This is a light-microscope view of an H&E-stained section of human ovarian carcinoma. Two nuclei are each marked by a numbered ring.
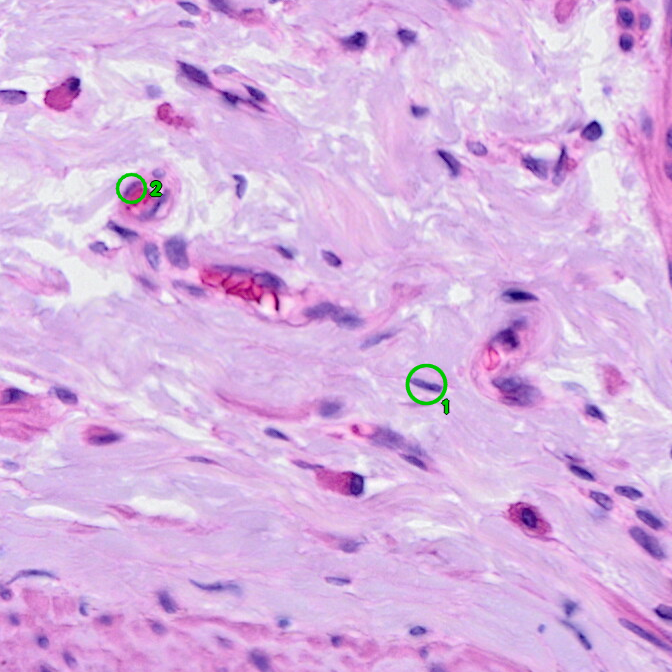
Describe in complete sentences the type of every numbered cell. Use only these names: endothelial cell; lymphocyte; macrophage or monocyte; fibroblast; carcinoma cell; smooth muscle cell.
Cell 1 is a fibroblast and cell 2 is an endothelial cell.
